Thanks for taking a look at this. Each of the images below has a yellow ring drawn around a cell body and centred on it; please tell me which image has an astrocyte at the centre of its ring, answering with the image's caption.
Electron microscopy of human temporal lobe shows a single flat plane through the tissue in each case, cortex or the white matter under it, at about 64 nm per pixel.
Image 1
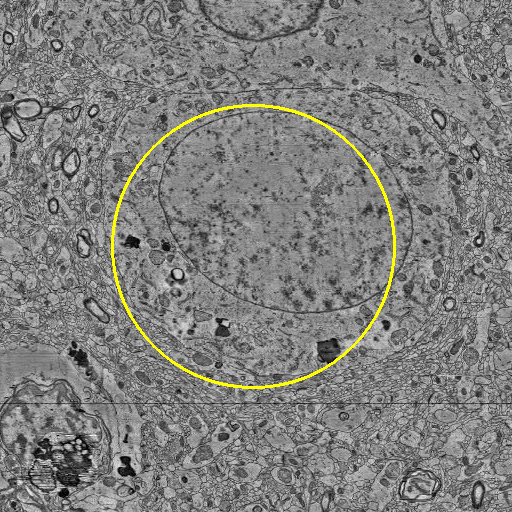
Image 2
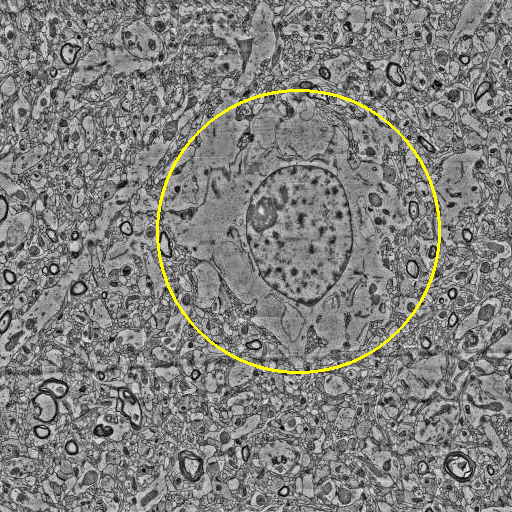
Image 2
